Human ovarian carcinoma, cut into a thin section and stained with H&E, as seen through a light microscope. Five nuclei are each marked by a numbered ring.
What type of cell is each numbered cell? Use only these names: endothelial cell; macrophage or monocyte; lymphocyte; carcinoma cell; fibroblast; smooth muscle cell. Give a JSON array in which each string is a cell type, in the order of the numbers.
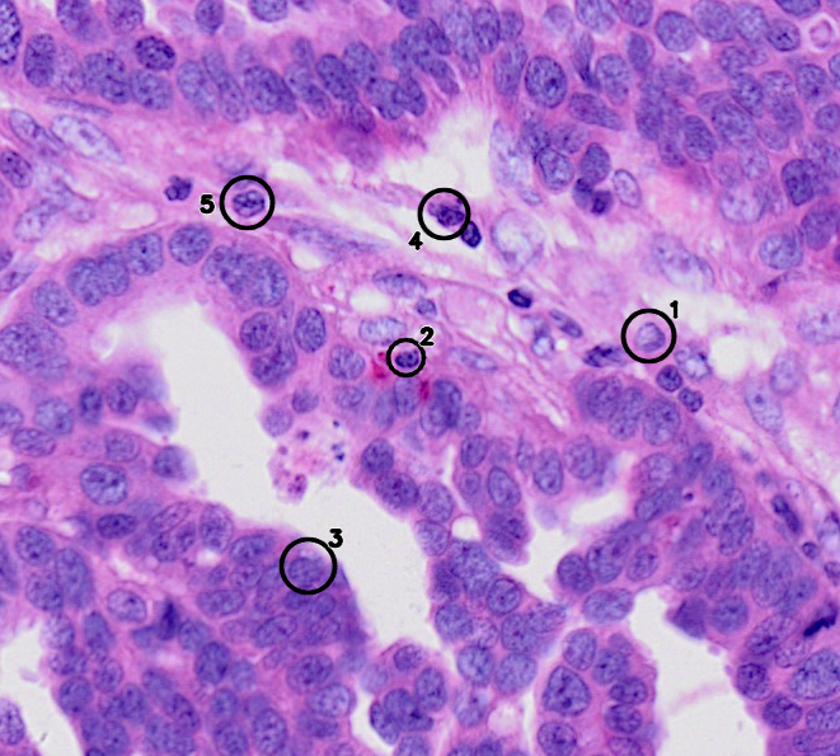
["macrophage or monocyte", "lymphocyte", "carcinoma cell", "macrophage or monocyte", "lymphocyte"]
